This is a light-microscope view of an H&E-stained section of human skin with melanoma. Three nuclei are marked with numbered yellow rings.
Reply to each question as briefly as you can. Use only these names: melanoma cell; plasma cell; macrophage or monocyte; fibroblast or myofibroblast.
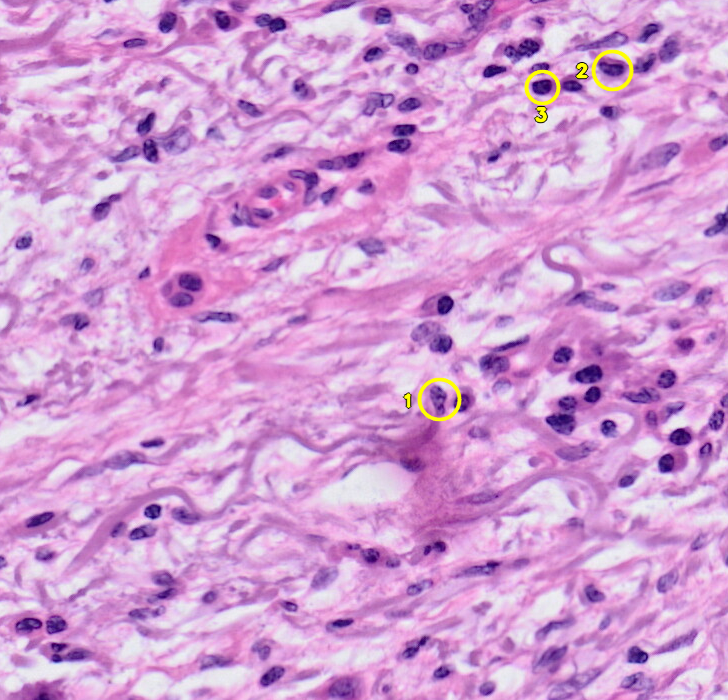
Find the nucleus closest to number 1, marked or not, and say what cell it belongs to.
plasma cell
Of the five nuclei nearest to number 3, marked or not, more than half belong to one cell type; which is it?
plasma cell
